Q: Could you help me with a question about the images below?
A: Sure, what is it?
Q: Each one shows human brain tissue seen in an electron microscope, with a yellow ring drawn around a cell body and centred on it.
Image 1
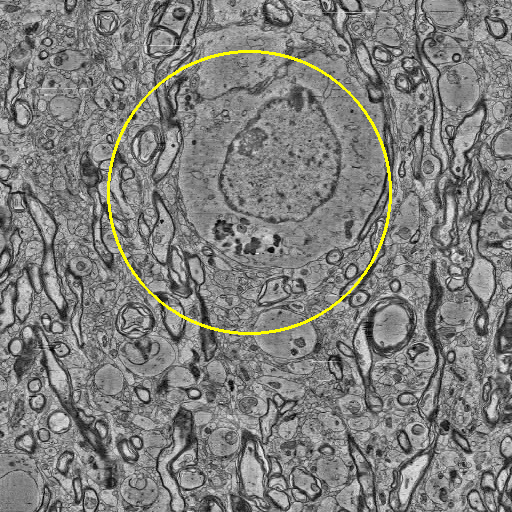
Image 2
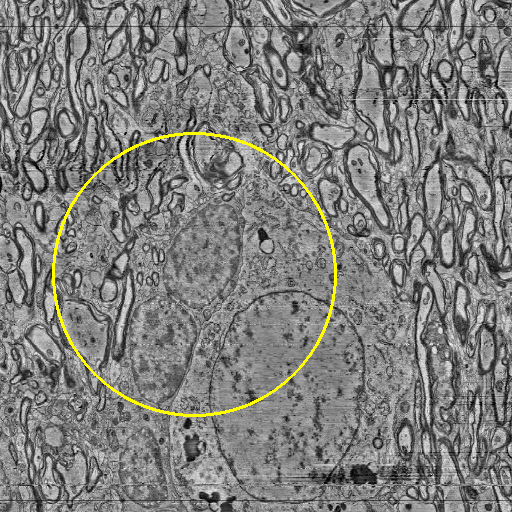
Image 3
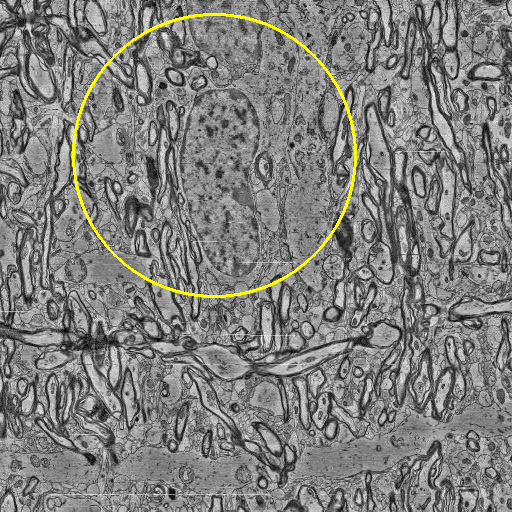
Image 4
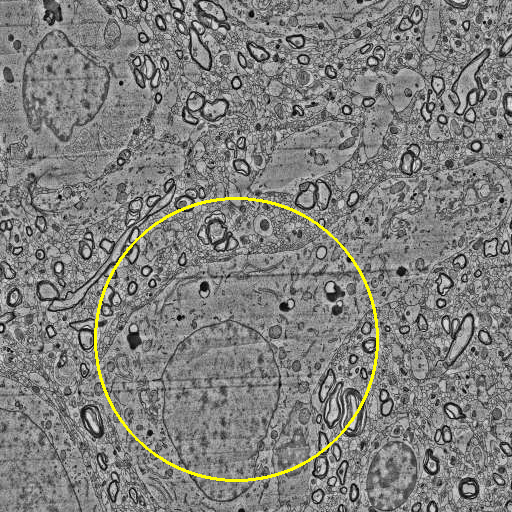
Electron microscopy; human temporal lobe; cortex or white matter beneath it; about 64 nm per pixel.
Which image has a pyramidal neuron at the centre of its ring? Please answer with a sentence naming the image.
Image 4 has it at the centre of its ring.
